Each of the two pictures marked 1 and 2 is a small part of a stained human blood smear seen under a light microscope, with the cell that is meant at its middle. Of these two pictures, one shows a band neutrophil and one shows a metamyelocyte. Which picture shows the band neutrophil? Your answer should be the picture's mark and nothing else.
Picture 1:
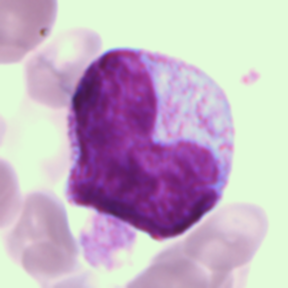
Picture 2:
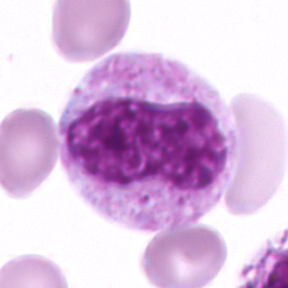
1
